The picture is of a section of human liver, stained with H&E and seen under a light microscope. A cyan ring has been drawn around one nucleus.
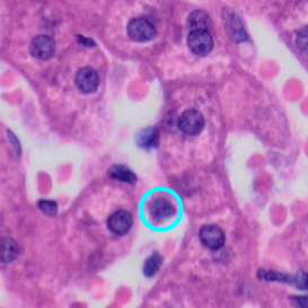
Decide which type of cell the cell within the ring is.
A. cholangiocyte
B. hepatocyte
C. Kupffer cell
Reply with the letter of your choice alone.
C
